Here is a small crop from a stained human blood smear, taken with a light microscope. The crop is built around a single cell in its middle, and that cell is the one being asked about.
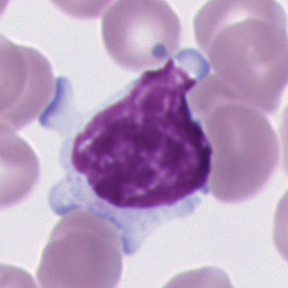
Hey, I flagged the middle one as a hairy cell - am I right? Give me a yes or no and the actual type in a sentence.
No, the central cell should be identified as a typical lymphocyte, not as a hairy cell.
